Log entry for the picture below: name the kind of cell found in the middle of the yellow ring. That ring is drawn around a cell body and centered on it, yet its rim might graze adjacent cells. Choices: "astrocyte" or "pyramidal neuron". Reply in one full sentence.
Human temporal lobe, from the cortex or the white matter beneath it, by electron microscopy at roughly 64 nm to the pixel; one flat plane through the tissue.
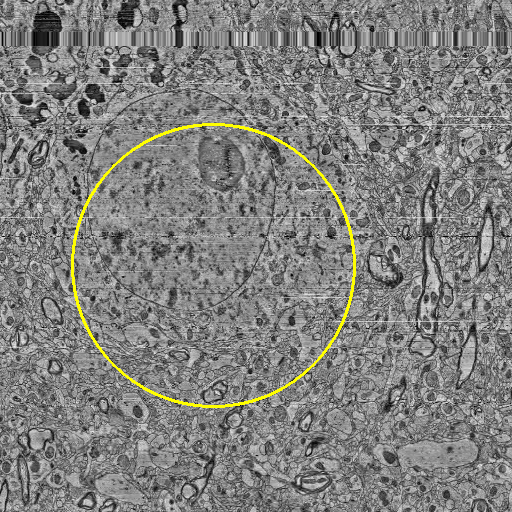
The cell in the middle of the yellow ring in this picture is a pyramidal neuron.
